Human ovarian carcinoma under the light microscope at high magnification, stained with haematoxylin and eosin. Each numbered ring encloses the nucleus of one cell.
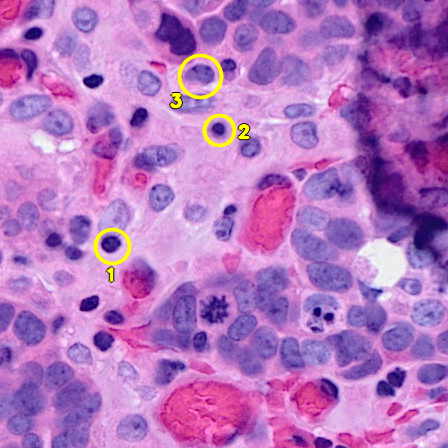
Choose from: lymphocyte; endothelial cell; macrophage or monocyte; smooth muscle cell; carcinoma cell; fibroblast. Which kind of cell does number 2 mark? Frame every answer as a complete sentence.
Cell number 2 in this section is a lymphocyte.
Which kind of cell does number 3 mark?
Here, the cell given the number 3 is a macrophage or monocyte.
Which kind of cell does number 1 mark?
Regarding cell 1, this one is a lymphocyte.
